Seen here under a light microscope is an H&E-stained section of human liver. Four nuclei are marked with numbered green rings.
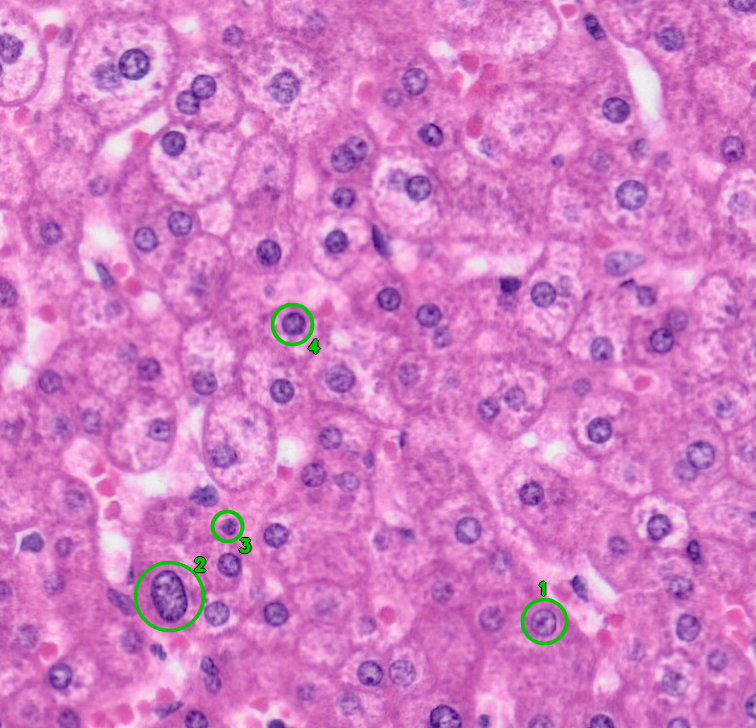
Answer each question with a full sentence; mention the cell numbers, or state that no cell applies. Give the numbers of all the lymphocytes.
Only the cell marked 3 is a lymphocyte.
